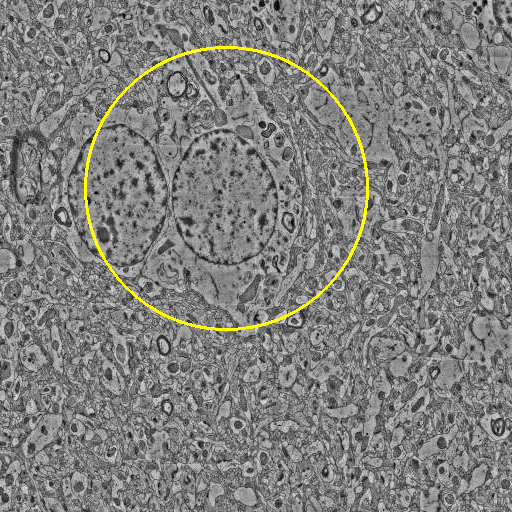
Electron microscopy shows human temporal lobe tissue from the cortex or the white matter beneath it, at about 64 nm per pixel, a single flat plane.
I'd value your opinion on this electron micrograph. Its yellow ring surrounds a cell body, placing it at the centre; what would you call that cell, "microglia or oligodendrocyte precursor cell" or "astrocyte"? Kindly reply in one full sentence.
It is an astrocyte that sits centred within the yellow ring in this micrograph.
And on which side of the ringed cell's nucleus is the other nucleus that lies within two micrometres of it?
The other nucleus lies to the left of it.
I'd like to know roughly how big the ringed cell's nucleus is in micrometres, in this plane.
Approximately 9 micrometres long and 7 micrometres wide, in this plane.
